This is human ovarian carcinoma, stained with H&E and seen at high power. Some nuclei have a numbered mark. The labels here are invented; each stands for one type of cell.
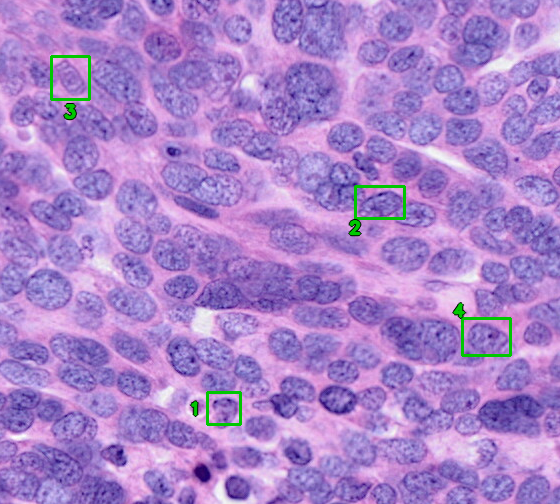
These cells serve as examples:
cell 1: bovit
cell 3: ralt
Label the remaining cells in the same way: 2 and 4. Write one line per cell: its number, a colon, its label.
2: ralt
4: ralt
